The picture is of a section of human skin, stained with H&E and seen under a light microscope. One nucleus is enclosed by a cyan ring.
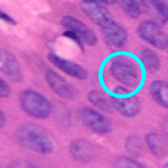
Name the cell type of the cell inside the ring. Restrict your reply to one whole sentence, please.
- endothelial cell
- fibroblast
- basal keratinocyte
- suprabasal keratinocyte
Histopathologically, the cell inside the ring is a suprabasal keratinocyte.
